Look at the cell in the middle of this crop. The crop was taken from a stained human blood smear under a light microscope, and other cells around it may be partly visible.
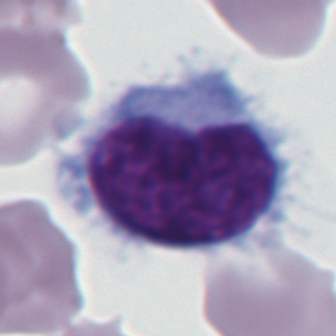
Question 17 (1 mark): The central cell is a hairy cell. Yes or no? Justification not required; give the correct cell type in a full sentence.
Yes, the one cell at the centre is a hairy cell.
